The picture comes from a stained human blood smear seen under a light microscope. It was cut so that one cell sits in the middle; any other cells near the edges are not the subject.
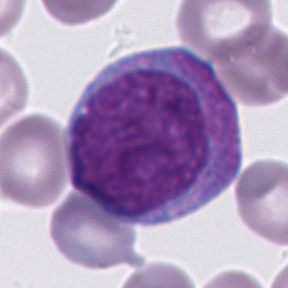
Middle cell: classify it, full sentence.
The centrally located cell in the crop is a promyelocyte.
